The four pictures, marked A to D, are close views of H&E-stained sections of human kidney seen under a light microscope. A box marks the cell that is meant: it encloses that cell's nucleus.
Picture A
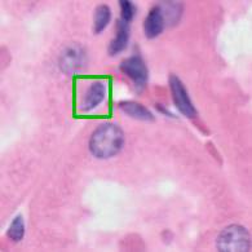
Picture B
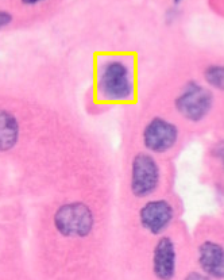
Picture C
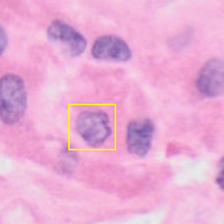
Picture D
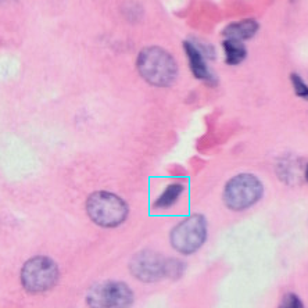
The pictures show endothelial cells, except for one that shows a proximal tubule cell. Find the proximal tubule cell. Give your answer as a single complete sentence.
Picture C shows the proximal tubule cell.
